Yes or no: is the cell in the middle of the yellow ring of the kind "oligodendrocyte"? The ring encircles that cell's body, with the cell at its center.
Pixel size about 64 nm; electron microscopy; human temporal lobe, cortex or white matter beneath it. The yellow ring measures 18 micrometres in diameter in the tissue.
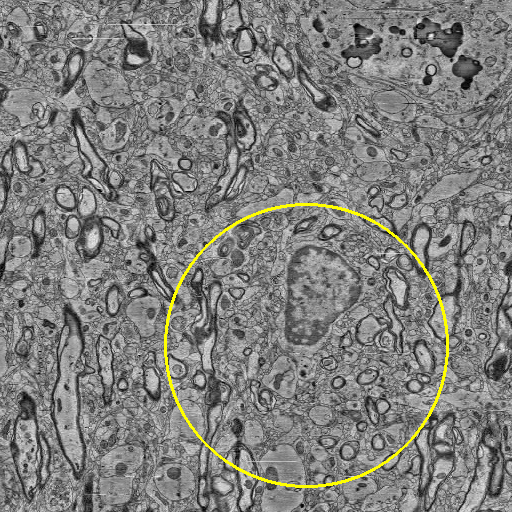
no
